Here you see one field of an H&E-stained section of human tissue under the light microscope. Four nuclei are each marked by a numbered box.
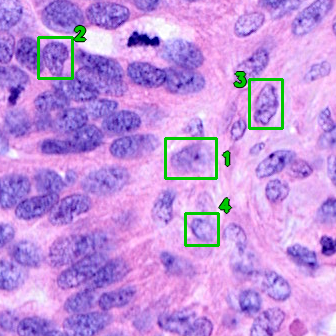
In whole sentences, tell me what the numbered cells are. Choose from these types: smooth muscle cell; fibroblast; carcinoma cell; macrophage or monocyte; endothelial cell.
Cells 1, 3 and 4 are fibroblasts. Cell 2 is a carcinoma cell.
